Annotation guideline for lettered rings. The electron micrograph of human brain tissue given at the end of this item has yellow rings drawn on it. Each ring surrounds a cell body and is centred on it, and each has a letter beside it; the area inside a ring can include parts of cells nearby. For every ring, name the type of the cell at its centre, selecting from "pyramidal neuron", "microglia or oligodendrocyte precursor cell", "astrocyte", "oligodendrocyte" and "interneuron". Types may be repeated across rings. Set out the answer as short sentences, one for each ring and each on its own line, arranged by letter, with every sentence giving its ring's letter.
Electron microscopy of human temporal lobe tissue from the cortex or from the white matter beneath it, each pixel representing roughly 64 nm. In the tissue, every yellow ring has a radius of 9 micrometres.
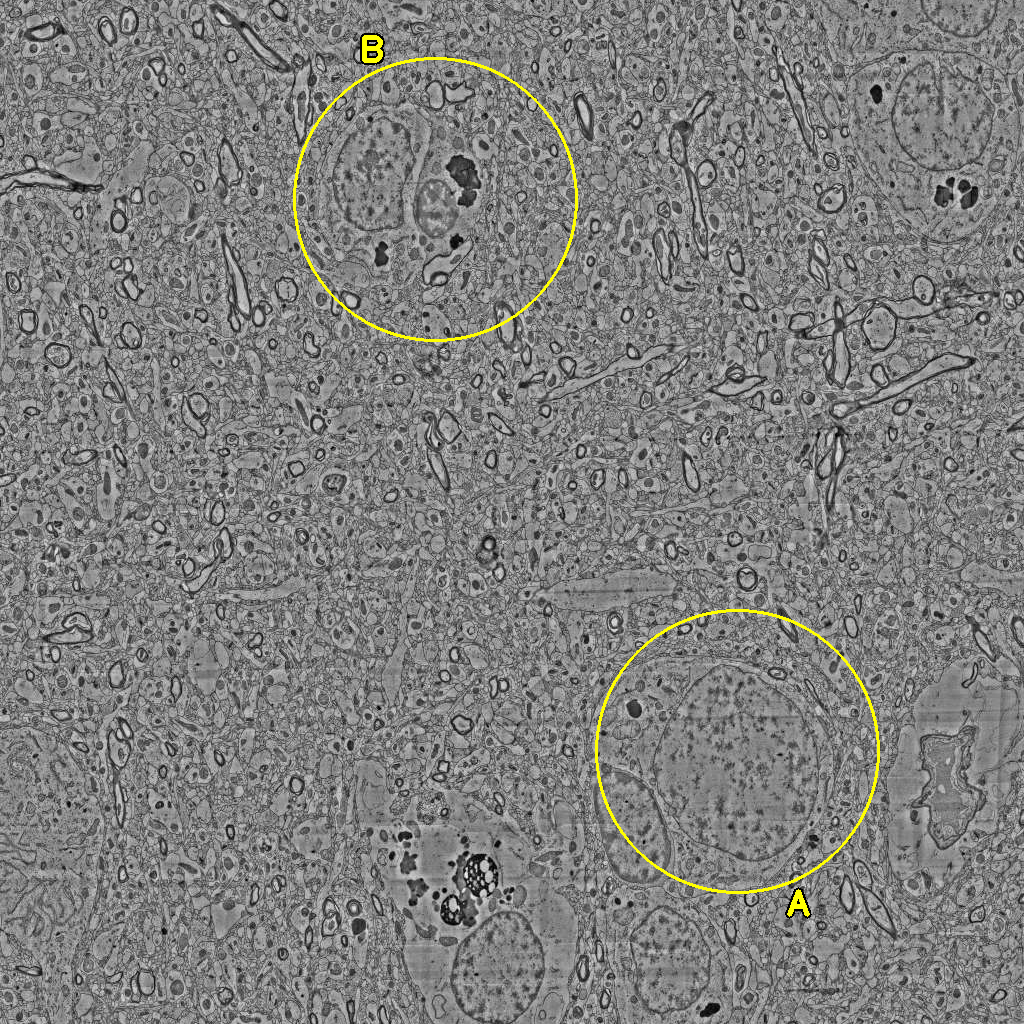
The cell centred in ring A is a pyramidal neuron.
The cell centred in ring B is an oligodendrocyte.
